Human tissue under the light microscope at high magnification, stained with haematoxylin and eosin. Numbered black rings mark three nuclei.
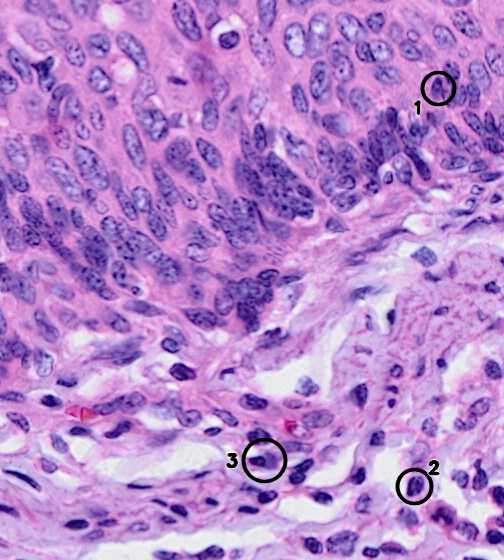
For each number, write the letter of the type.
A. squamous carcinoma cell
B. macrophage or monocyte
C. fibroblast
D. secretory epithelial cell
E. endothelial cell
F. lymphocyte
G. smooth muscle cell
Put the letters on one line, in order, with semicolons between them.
A; F; F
